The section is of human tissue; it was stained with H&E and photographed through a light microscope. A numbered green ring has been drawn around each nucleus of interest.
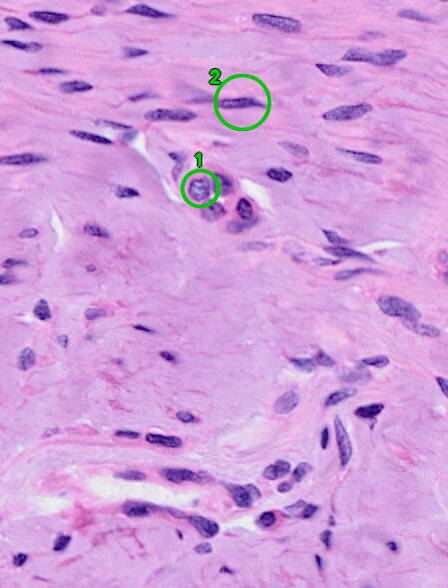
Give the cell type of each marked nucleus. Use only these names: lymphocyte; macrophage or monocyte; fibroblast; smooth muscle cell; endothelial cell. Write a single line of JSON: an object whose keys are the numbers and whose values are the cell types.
{"1": "endothelial cell", "2": "fibroblast"}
